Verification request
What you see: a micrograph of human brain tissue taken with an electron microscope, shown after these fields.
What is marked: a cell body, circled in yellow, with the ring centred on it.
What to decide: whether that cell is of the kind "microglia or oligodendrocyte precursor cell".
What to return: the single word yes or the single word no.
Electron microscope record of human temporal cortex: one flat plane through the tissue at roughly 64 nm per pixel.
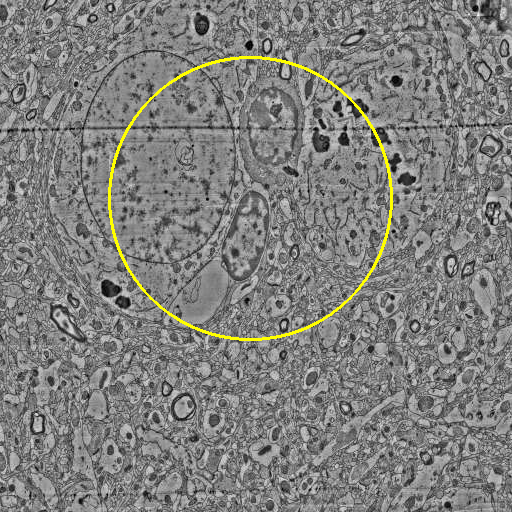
yes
